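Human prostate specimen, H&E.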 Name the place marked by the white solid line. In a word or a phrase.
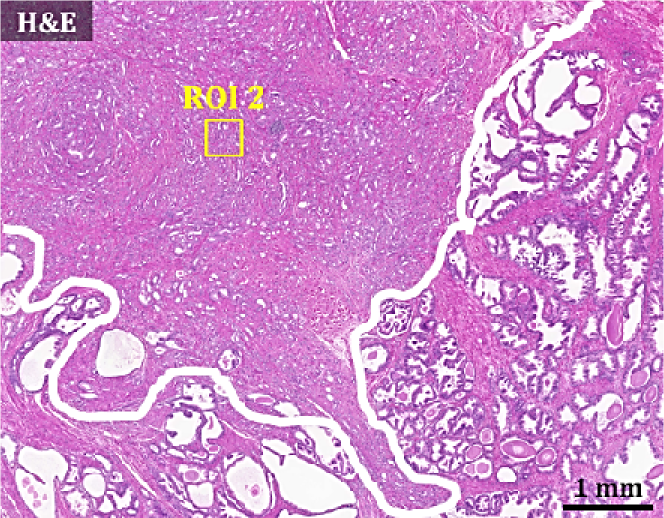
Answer: the boundary between adenocarcinoma and benign regions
